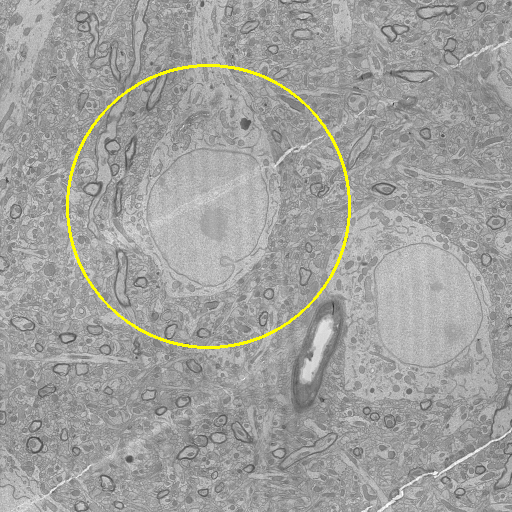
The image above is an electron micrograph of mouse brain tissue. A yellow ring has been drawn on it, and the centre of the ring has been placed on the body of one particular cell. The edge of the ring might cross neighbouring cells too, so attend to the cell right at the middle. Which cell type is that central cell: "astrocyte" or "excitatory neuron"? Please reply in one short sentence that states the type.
The central cell in the ring is an excitatory neuron.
